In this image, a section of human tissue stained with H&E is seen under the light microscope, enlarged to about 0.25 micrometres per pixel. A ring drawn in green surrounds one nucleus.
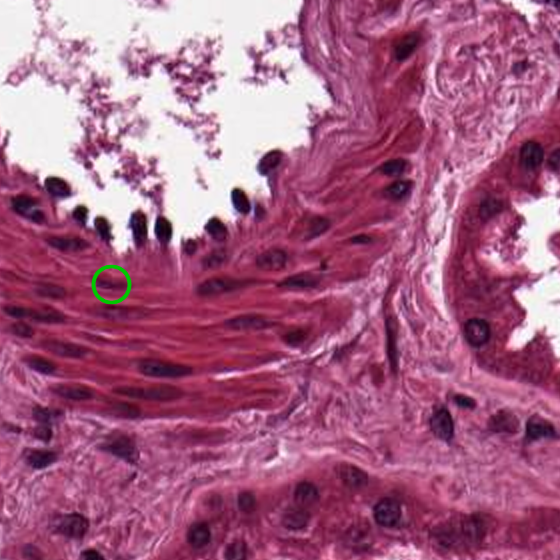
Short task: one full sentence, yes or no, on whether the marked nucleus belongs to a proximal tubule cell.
No, in the section shown, the marked nucleus is not part of a proximal tubule cell.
